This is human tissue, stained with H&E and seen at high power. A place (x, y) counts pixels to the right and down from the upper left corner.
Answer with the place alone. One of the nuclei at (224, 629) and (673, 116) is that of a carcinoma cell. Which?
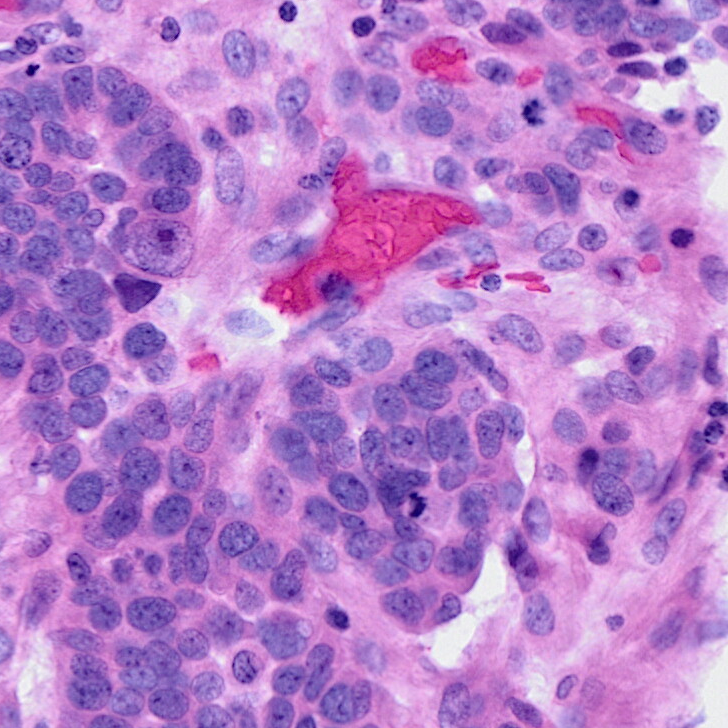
(224, 629)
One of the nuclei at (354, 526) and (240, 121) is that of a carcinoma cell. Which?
(354, 526)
